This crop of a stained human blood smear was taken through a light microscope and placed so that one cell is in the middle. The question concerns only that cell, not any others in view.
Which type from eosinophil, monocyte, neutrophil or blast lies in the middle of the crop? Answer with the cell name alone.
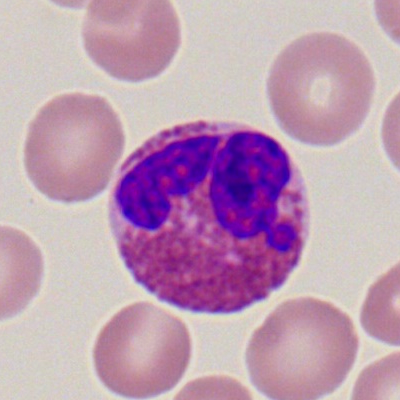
eosinophil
